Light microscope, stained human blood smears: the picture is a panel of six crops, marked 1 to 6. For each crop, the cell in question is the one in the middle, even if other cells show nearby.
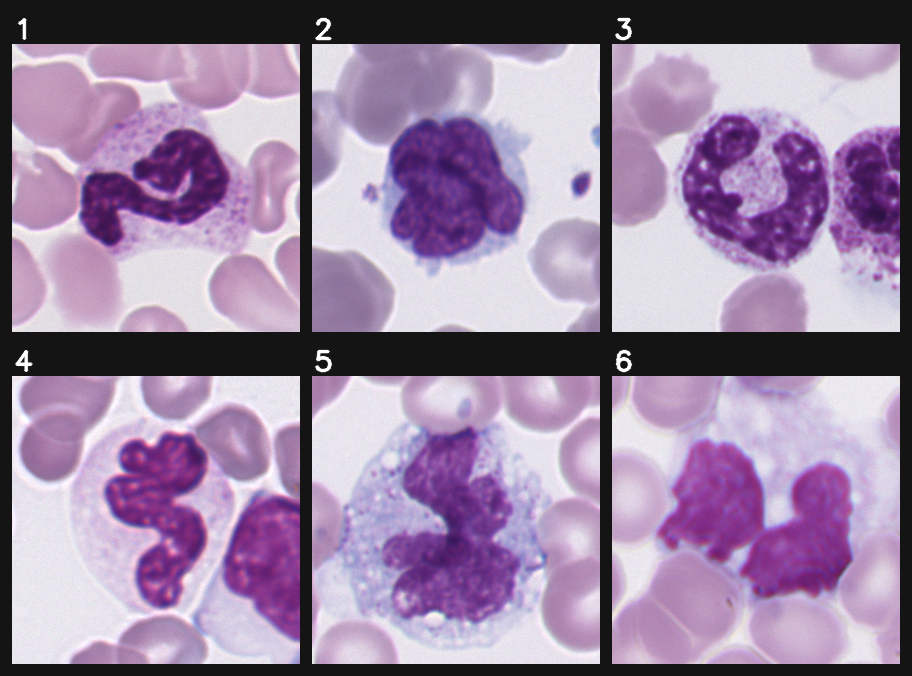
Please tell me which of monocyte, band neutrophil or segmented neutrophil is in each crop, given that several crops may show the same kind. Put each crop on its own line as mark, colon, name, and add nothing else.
1: segmented neutrophil
2: monocyte
3: segmented neutrophil
4: segmented neutrophil
5: monocyte
6: monocyte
